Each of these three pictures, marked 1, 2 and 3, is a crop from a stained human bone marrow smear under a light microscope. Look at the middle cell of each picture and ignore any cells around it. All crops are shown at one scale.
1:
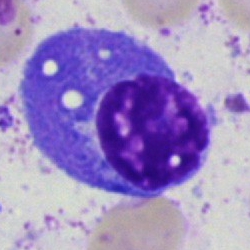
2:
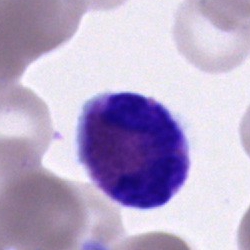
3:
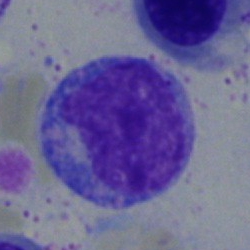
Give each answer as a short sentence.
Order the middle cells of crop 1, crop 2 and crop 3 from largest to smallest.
The order is 1, 3, 2, beginning with the largest.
